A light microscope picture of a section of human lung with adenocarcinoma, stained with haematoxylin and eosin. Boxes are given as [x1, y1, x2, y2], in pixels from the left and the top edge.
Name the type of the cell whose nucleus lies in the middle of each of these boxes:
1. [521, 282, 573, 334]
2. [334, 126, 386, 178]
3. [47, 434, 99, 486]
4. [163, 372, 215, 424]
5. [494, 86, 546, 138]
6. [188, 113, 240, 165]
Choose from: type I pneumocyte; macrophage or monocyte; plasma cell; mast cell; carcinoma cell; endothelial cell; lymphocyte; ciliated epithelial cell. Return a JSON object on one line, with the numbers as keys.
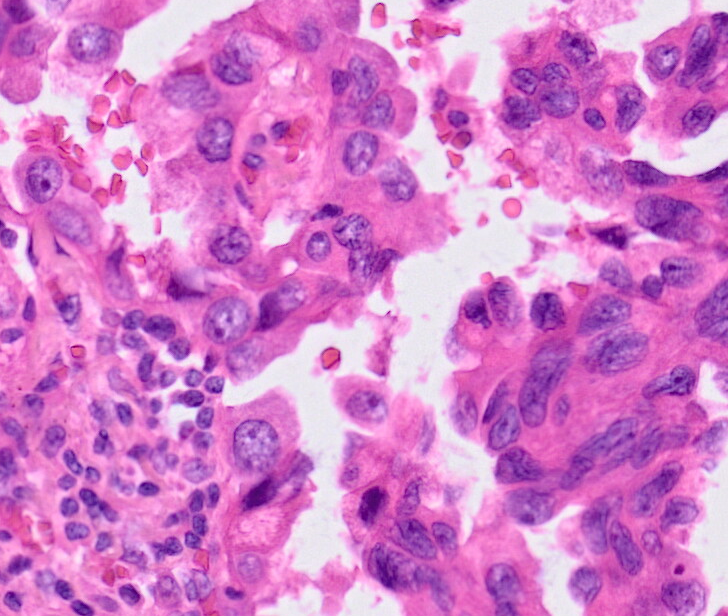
{"1": "carcinoma cell", "2": "carcinoma cell", "3": "lymphocyte", "4": "lymphocyte", "5": "carcinoma cell", "6": "carcinoma cell"}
